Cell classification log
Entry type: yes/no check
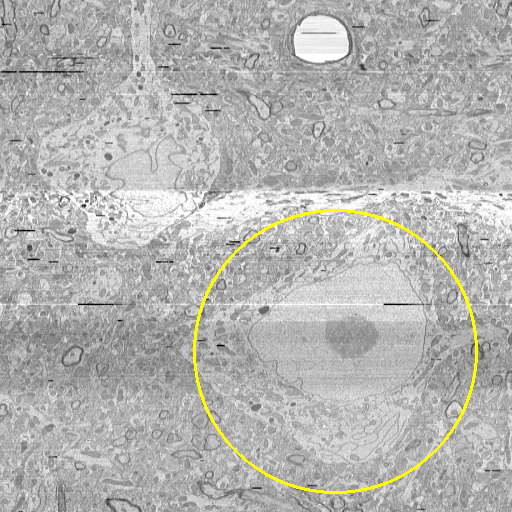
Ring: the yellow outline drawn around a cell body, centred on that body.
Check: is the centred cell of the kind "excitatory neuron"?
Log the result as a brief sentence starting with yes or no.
Yes, the cell is of that kind.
